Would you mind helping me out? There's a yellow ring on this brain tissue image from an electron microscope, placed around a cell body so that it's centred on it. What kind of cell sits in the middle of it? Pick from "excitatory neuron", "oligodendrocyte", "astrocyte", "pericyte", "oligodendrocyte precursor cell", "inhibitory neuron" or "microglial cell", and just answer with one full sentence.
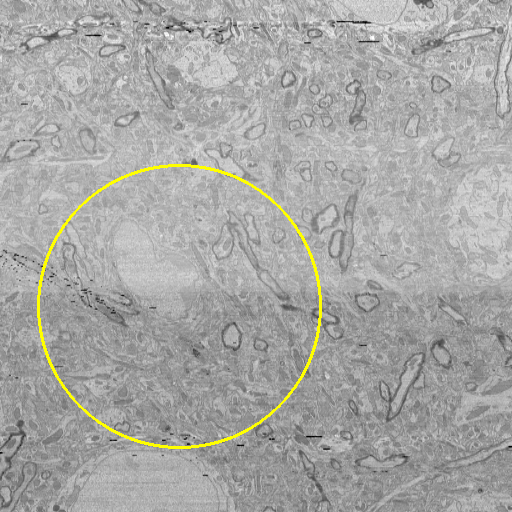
What sits in the middle of that yellow ring is an oligodendrocyte precursor cell, from your choices.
